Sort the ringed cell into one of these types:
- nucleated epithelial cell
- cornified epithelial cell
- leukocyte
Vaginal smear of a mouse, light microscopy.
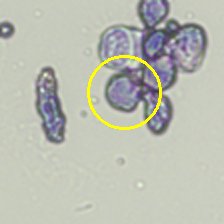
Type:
nucleated epithelial cell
